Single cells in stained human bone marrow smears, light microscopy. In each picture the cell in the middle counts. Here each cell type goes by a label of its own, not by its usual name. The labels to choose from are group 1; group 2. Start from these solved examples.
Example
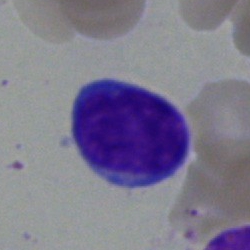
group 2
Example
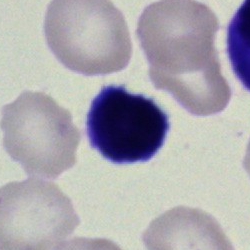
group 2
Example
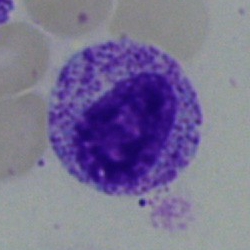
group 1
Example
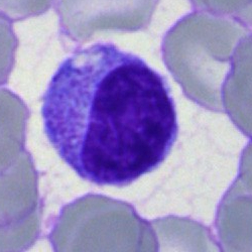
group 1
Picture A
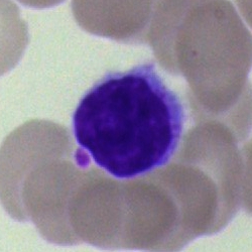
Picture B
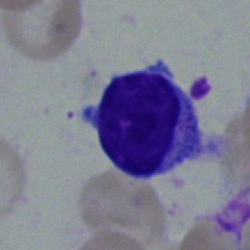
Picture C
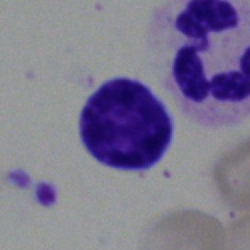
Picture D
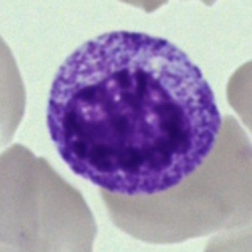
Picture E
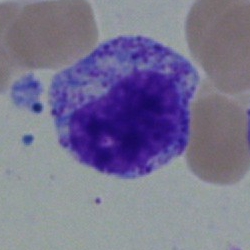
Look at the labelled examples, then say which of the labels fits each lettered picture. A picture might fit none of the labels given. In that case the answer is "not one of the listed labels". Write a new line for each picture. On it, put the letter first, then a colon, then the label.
A: group 2
B: group 2
C: group 2
D: group 1
E: group 1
